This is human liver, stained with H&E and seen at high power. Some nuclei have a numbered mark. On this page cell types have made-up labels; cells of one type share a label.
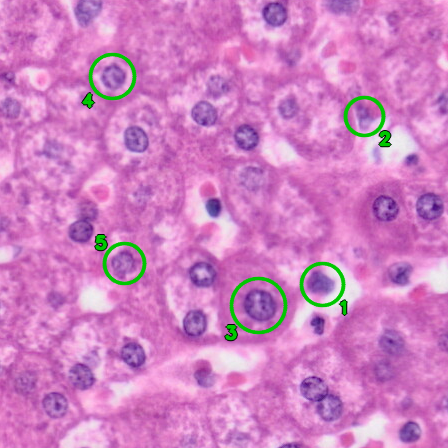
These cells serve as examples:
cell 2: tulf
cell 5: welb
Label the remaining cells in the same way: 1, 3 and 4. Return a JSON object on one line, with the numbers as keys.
{"1": "tulf", "3": "welb", "4": "welb"}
